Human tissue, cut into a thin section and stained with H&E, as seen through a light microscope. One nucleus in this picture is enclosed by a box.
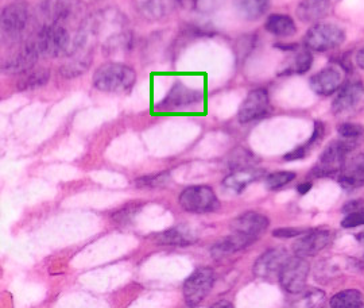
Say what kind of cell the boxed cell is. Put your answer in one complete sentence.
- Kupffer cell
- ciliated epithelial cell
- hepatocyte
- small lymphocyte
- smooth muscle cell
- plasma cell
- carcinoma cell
The category to which the boxed cell belongs is that of a ciliated epithelial cell.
